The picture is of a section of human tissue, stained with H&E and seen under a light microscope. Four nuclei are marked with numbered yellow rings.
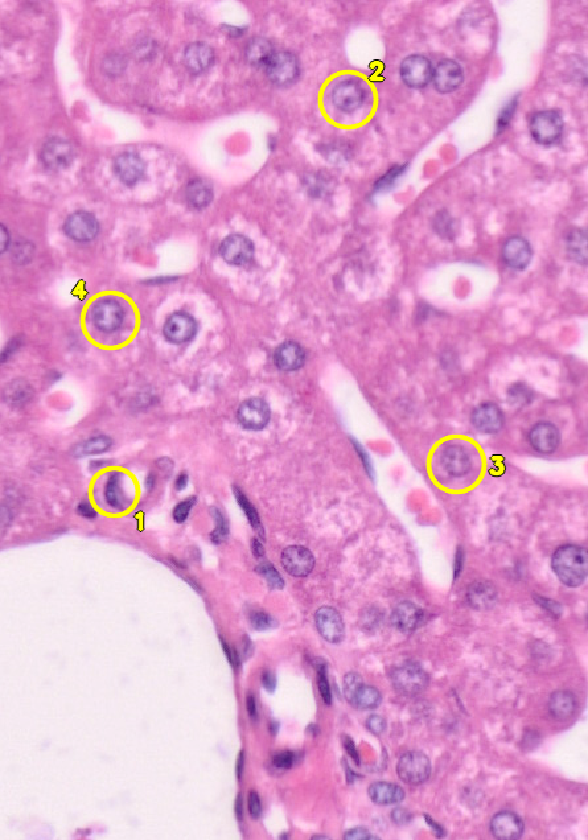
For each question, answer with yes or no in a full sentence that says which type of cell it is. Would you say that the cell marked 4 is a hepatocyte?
Yes, the marked cell numbered 4 is a hepatocyte.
